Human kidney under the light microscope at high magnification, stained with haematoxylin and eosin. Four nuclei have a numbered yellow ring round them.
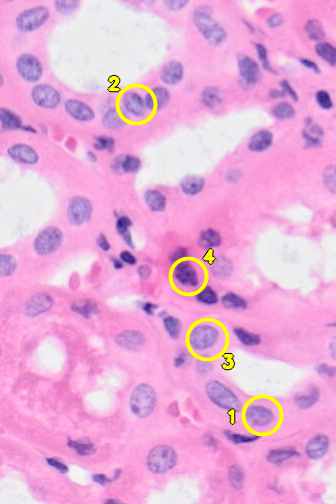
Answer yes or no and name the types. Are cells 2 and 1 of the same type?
Yes, both are collecting duct cells.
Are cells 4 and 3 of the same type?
No, cell 4 is a proximal tubule cell and cell 3 is a collecting duct cell.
